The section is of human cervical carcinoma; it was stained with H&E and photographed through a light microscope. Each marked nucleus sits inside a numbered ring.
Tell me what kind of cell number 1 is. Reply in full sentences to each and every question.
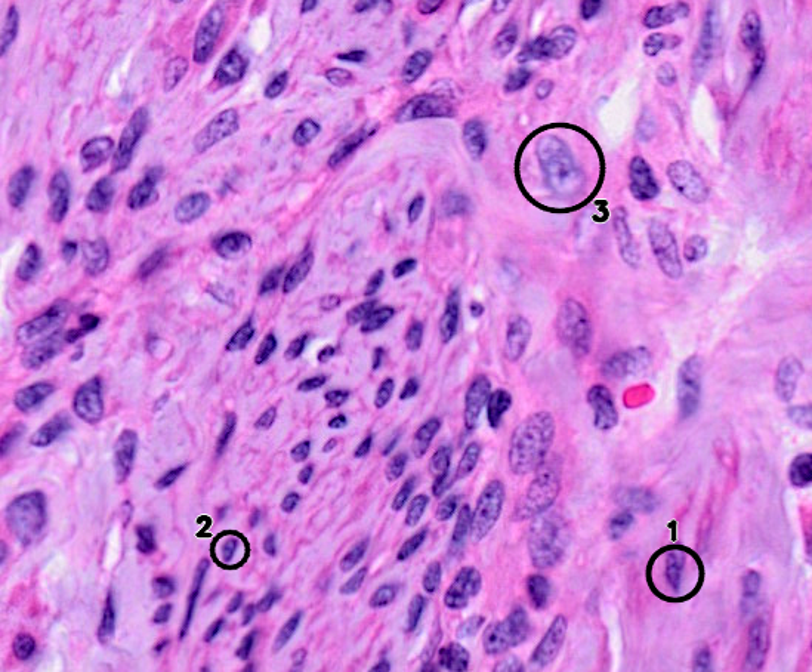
The cell that goes by number 1 is a smooth muscle cell.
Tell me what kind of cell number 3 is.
Among the marked cells, number 3 is an endothelial cell.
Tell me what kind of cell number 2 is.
Belonging to a smooth muscle cell is the nucleus that carries the number 2.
